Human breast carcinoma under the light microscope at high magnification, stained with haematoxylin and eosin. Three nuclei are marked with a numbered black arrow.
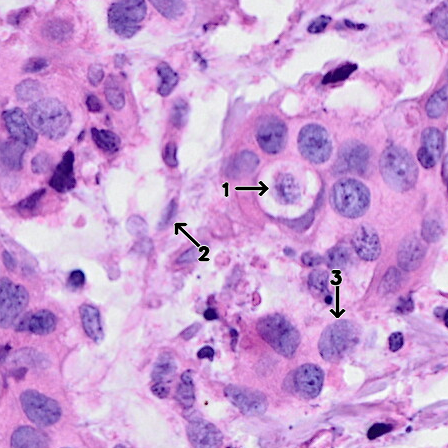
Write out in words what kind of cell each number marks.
Cell 1 is a carcinoma cell, cell 2 is a fibroblast and cell 3 is a carcinoma cell.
